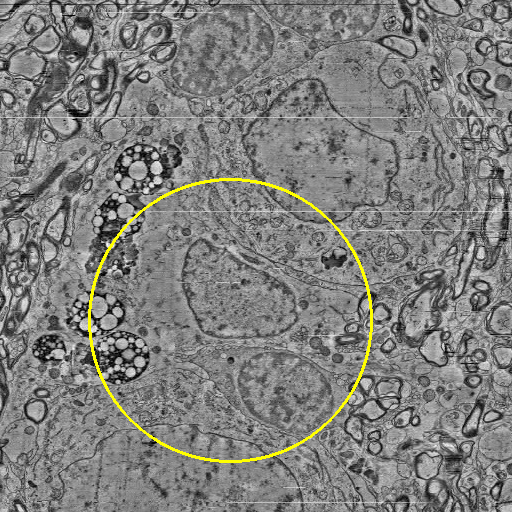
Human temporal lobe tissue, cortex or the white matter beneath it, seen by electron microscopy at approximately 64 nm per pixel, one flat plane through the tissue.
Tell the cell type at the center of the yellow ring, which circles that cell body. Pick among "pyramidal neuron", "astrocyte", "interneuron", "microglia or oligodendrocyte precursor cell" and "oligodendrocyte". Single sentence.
The ring is centered on the body of an astrocyte.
